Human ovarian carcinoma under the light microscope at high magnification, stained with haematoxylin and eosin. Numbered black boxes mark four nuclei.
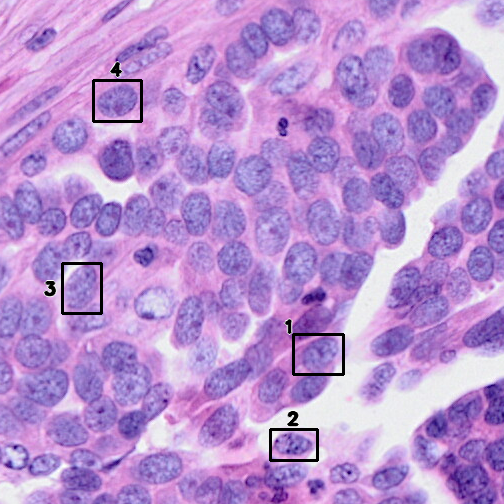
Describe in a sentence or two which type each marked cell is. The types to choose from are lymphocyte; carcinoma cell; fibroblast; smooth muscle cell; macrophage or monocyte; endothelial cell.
Cells 1, 3 and 4 are carcinoma cells. Cell 2 is a macrophage or monocyte.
